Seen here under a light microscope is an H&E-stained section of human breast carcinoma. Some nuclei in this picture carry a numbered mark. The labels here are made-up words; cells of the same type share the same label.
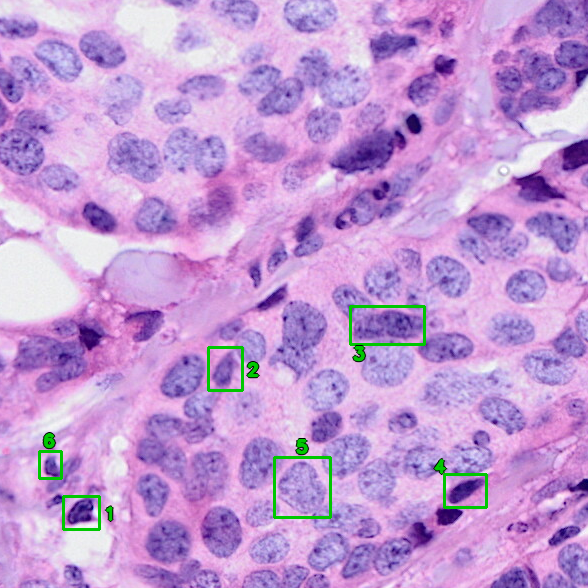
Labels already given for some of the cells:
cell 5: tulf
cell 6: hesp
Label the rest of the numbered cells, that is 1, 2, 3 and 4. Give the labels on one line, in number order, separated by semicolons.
hesp; tulf; tulf; tulf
